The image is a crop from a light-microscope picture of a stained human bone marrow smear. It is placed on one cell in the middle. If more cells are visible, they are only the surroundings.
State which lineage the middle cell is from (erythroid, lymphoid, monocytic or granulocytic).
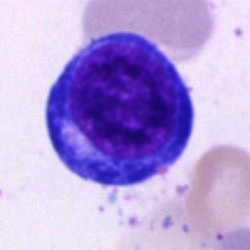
erythroid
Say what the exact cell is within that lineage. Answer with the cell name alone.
proerythroblast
